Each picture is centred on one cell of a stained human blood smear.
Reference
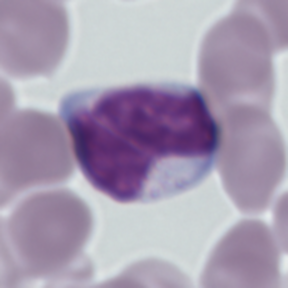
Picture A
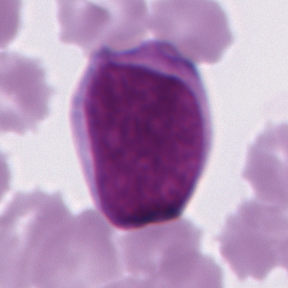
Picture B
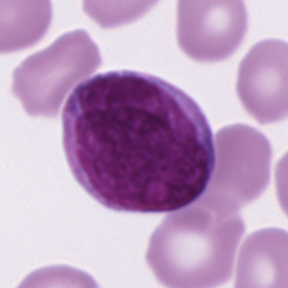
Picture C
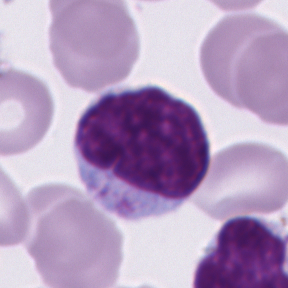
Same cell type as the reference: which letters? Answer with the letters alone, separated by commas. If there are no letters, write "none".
C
